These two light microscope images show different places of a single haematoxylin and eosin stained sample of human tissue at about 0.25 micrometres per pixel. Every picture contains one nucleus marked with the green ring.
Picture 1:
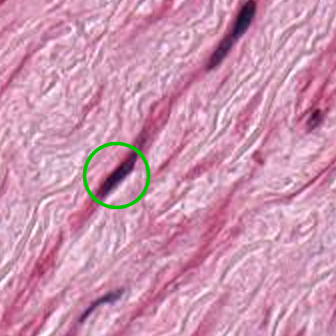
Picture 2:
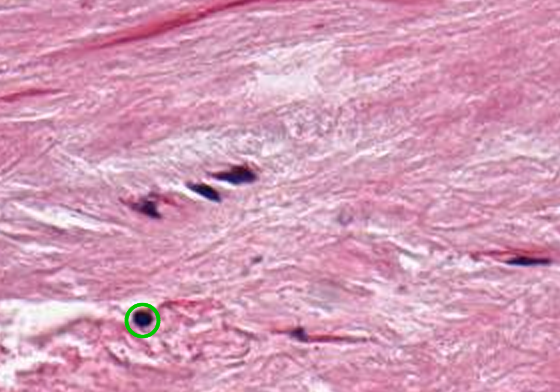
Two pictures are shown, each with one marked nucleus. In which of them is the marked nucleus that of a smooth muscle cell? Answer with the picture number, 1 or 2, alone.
1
